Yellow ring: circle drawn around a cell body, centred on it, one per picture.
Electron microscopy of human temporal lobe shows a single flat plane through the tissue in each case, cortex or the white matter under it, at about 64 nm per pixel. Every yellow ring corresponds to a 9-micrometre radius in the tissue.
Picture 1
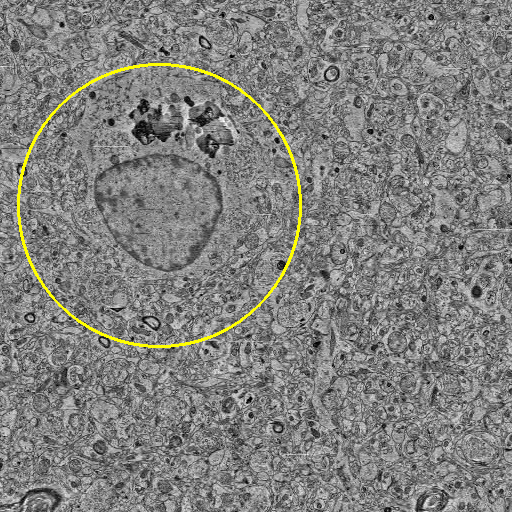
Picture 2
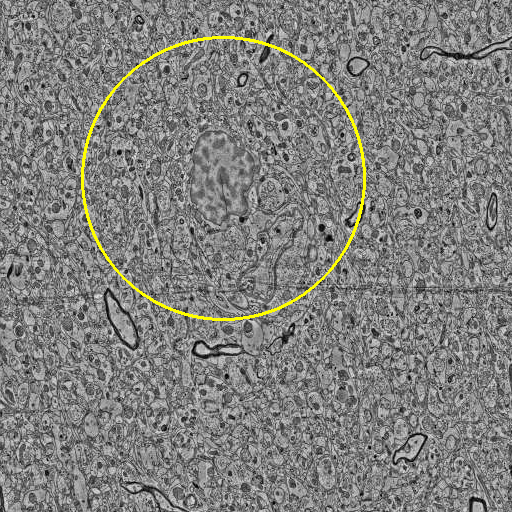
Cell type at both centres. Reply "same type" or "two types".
two types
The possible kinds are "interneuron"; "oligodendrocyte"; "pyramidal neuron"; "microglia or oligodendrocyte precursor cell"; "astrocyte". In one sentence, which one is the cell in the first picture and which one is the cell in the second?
The cell ringed in the second picture is an oligodendrocyte, whereas the one ringed in the first is an astrocyte.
